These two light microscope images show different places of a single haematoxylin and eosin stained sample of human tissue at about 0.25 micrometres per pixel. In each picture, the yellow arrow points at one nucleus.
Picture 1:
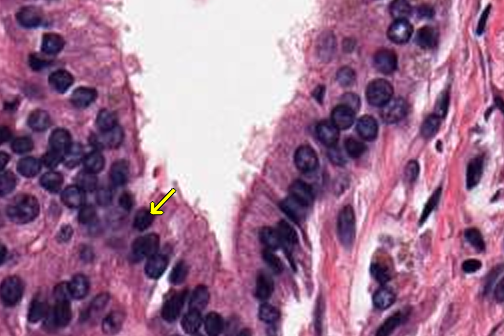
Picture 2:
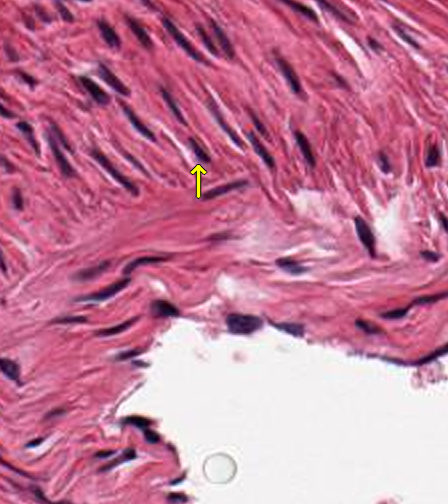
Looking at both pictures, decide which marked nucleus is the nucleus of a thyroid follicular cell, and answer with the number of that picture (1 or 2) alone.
1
